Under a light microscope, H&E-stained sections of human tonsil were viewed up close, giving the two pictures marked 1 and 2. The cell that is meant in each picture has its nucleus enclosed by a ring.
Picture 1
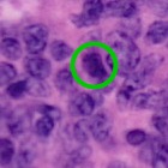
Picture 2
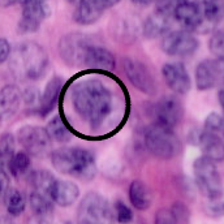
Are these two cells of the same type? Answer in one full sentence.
Yes, both cells are proliferating B cells.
